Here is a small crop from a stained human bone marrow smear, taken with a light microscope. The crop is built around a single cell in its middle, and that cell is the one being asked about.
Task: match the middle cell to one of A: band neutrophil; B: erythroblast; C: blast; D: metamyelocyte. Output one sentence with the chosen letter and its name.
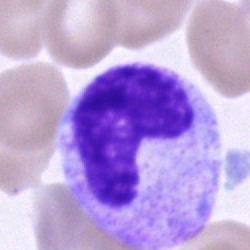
Identified correctly by option D, the cell in the middle is a metamyelocyte.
